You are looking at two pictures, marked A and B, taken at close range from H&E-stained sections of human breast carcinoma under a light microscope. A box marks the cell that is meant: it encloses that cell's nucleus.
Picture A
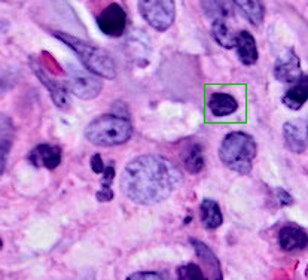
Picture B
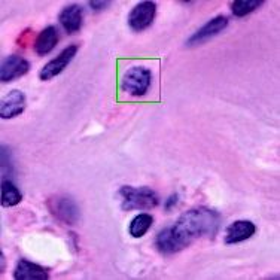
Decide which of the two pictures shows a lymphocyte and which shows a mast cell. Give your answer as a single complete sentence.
In picture A the cell is a lymphocyte; in picture B, a mast cell.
